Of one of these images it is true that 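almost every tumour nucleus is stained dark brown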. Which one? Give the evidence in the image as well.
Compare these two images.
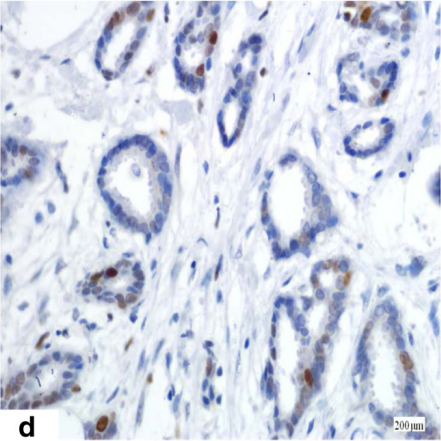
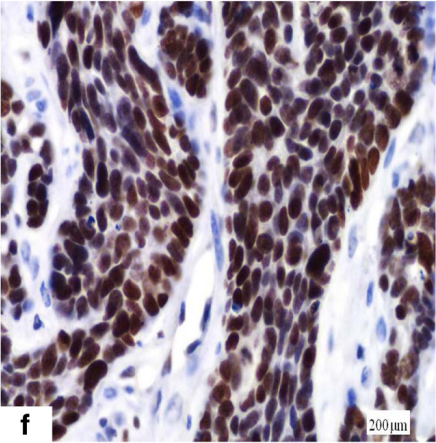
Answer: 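The second image. Second image: nearly all nuclei in the tumour cords are dark brown. First image: most nuclei lining the glands are blue, with only a few brown ones.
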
